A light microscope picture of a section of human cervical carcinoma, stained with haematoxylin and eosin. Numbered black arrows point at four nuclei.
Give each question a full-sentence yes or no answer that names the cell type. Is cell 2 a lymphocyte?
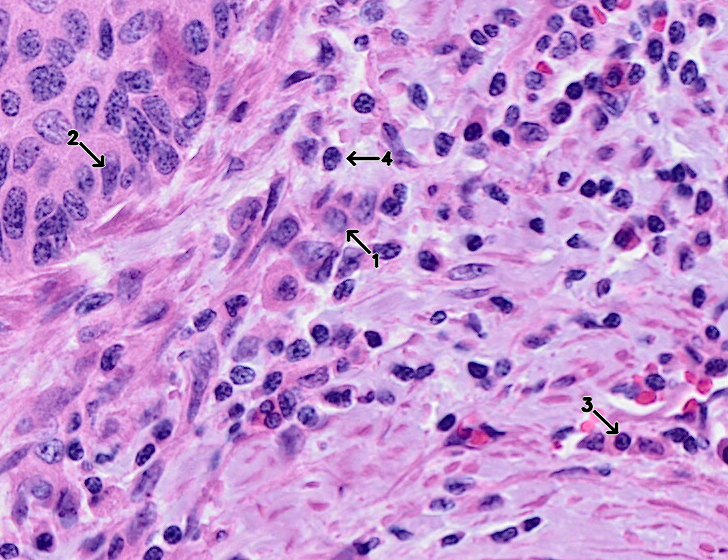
No, it is a squamous carcinoma cell, not a lymphocyte, at number 2.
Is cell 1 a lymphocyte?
No, cell 1 is not a lymphocyte: it is an endothelial cell.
